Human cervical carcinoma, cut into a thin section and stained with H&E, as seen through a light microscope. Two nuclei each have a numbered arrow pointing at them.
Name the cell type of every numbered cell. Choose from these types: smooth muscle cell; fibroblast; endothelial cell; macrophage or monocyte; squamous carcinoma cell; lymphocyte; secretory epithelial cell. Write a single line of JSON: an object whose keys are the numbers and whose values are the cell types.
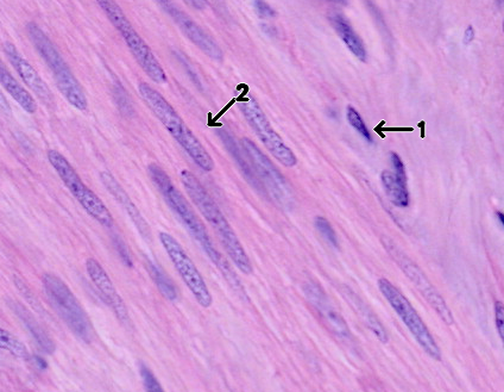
{"1": "fibroblast", "2": "smooth muscle cell"}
